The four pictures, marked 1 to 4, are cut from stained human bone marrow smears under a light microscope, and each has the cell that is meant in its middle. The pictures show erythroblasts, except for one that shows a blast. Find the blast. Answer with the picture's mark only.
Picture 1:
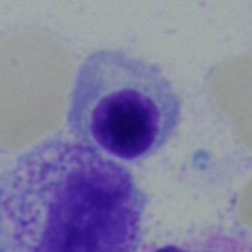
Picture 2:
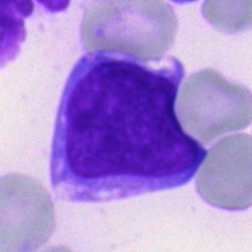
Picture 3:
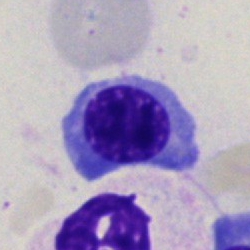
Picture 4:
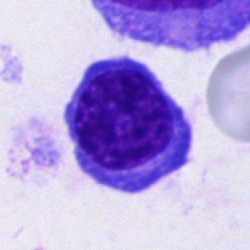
2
